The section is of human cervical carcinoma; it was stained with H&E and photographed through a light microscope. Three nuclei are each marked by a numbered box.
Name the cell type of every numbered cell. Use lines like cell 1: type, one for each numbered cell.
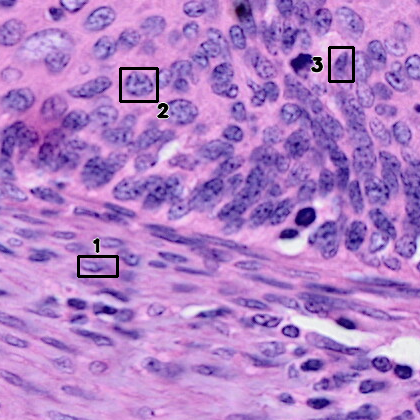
cell 1: smooth muscle cell
cell 2: squamous carcinoma cell
cell 3: squamous carcinoma cell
